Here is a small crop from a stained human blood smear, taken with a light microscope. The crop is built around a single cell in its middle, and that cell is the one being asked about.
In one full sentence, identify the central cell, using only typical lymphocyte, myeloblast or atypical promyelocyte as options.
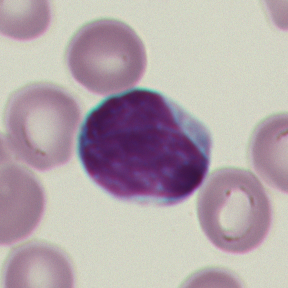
At the crop's centre, the cell is a typical lymphocyte.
